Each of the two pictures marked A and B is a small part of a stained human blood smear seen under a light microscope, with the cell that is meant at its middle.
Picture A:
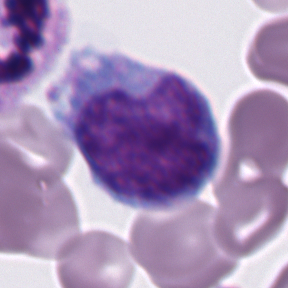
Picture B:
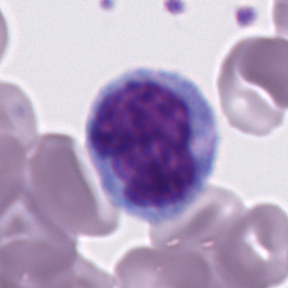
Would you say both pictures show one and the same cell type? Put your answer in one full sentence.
Yes, the two pictures both show monocytes.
